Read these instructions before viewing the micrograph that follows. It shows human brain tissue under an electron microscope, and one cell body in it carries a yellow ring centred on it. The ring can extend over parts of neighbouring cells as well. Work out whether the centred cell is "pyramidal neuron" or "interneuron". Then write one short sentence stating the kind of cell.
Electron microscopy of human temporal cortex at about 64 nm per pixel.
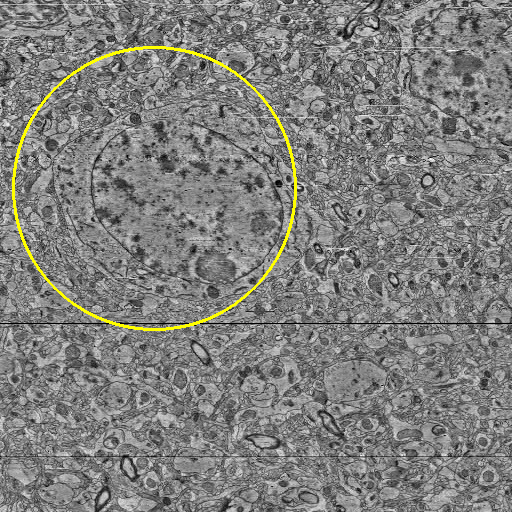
The ringed cell is a pyramidal neuron.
